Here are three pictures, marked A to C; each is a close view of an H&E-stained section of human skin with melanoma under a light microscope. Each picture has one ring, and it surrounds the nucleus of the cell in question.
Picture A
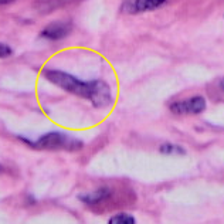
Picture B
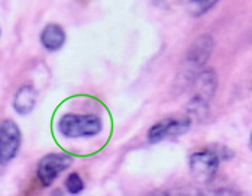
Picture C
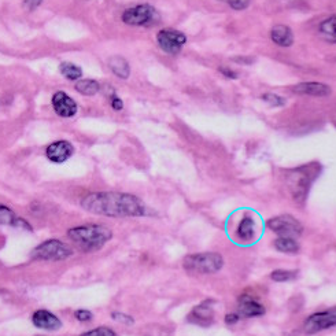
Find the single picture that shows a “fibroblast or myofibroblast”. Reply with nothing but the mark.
A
